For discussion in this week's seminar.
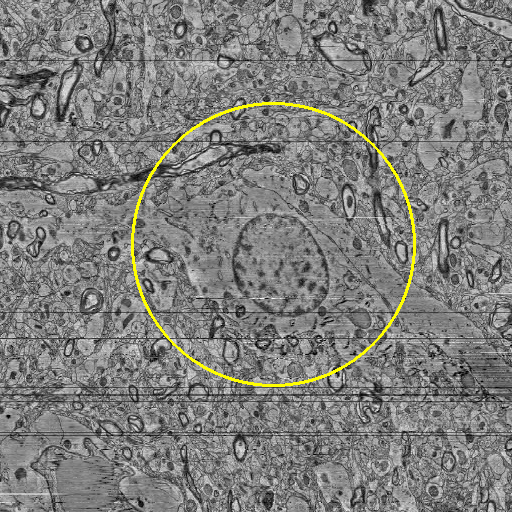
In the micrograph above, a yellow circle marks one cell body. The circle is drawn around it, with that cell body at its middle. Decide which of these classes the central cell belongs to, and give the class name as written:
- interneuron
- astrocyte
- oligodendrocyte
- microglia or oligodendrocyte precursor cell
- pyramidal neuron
astrocyte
